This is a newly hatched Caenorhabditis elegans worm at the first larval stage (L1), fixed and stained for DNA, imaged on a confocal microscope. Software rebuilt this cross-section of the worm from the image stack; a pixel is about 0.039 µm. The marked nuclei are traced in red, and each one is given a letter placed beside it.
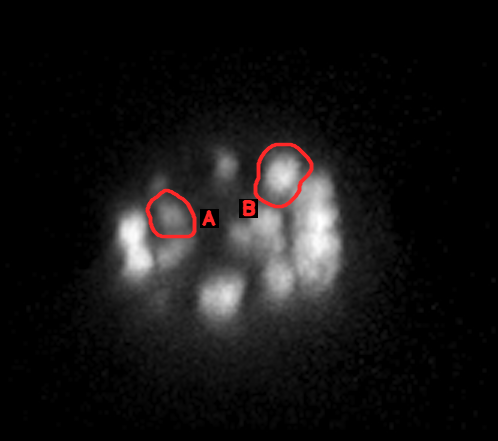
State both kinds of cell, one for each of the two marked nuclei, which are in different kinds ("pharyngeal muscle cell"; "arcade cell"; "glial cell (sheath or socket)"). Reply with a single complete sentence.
A is the nucleus of a pharyngeal muscle cell; B is the nucleus of a glial cell (sheath or socket).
